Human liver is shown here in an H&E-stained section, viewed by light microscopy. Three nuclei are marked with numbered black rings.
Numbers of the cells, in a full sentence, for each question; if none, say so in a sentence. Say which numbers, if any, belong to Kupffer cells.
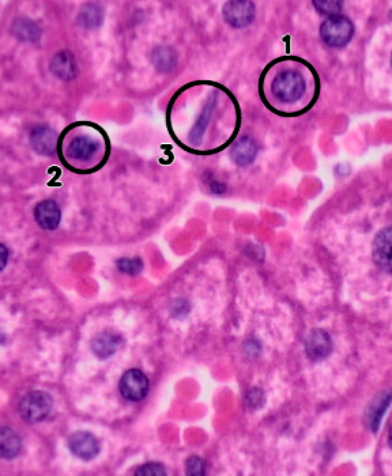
Across all the numbered cells, only number 3 is a Kupffer cell.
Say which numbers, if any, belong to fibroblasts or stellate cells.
Cell 2 is a fibroblast or stellate cell, and this holds for no other numbered cell.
